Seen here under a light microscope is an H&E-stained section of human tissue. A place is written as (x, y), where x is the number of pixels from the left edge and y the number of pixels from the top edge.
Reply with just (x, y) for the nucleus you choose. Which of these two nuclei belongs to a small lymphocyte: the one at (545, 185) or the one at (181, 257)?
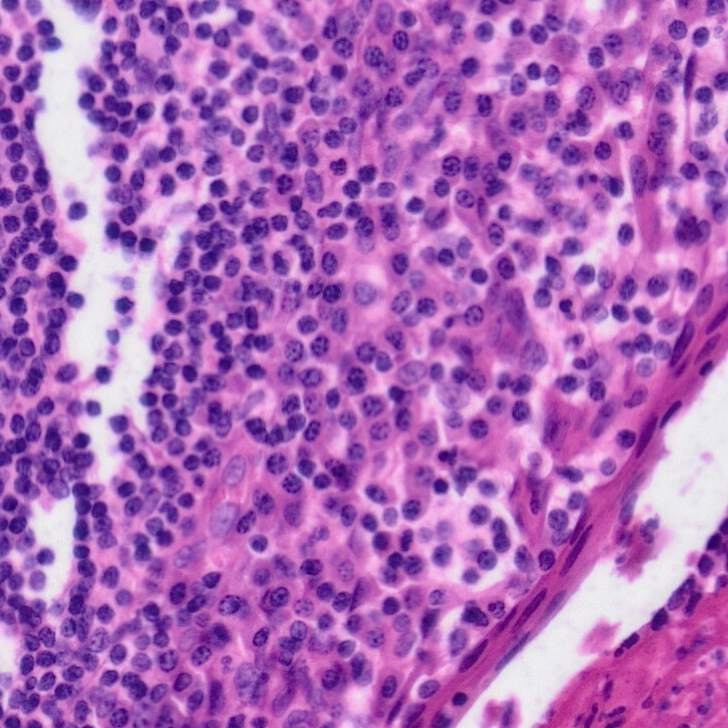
(181, 257)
